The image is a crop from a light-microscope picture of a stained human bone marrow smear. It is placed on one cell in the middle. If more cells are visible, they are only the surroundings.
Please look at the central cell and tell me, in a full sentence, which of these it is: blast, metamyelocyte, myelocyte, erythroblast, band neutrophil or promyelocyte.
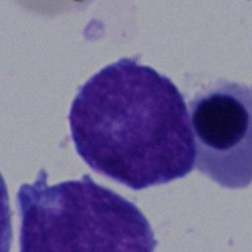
At the center of the crop sits a blast.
